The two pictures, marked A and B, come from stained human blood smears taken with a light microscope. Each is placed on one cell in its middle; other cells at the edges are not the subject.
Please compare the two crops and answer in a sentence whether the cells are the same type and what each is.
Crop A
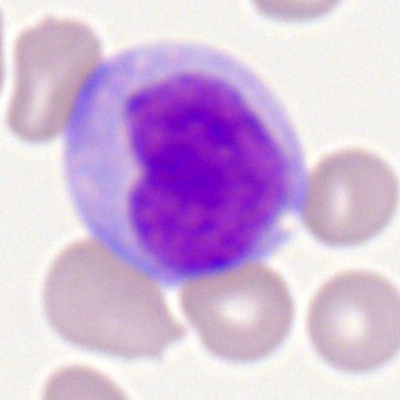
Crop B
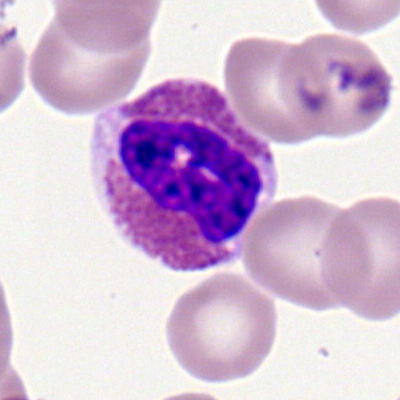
No, crop A shows a monocyte and crop B an eosinophil.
